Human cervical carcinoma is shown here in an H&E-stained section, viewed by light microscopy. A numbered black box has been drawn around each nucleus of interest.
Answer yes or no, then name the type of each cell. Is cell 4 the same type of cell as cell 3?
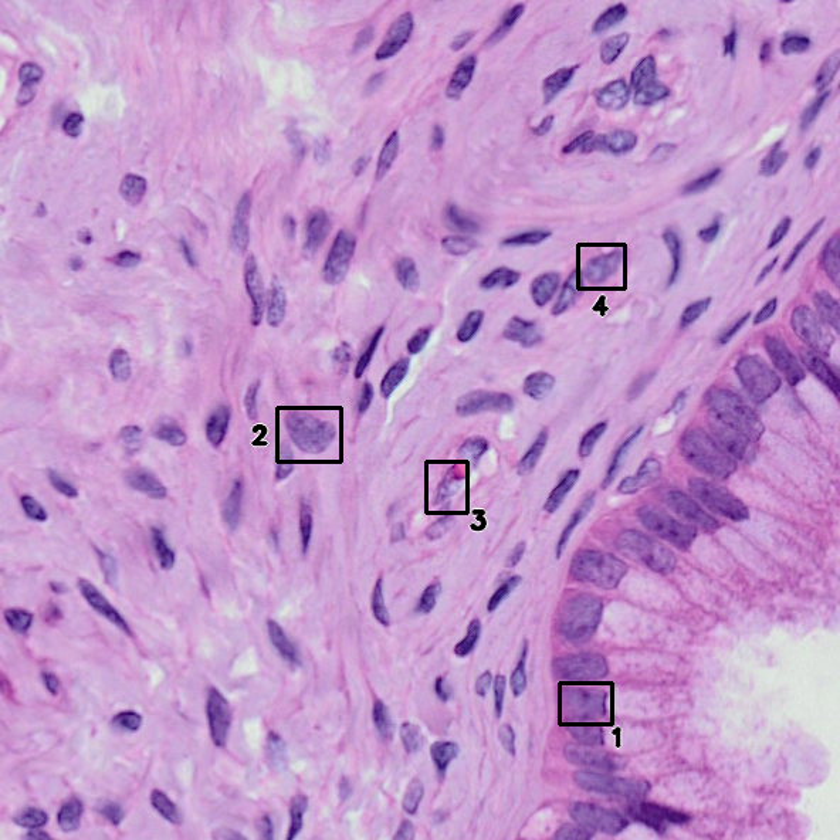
Yes, cells 4 and 3 are, both of them, endothelial cells.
